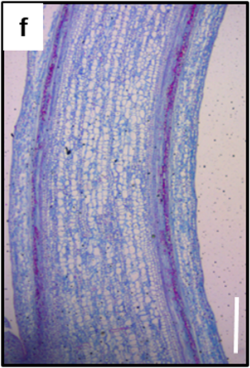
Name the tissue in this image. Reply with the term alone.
Tender stems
